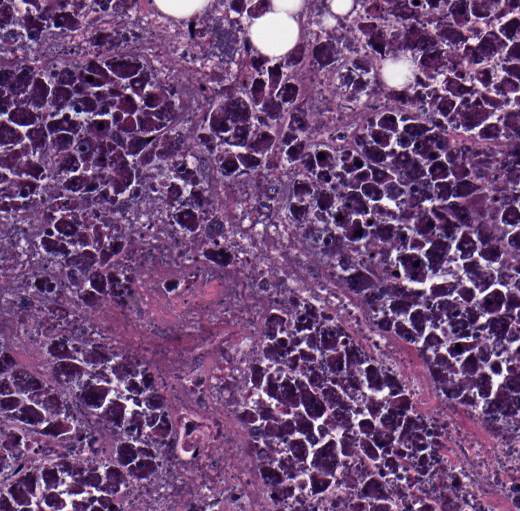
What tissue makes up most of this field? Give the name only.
exocrine pancreas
